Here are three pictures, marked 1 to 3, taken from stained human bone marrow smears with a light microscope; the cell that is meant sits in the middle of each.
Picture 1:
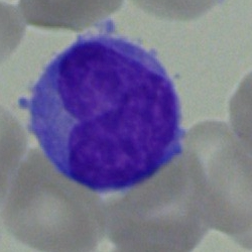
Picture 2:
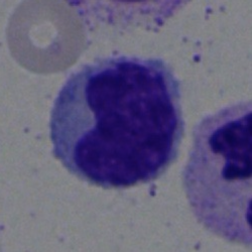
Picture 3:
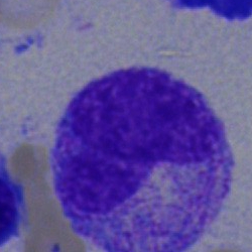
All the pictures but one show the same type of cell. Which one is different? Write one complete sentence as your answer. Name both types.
Picture 1 differs, because its cell is a monocyte and the rest are metamyelocytes.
